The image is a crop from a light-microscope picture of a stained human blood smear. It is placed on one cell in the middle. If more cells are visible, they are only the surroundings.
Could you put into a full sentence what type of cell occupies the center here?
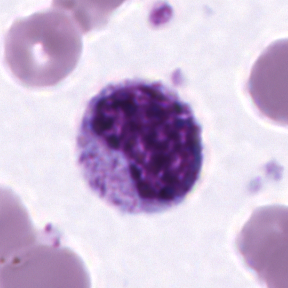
In short, the cell at the center is a metamyelocyte.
